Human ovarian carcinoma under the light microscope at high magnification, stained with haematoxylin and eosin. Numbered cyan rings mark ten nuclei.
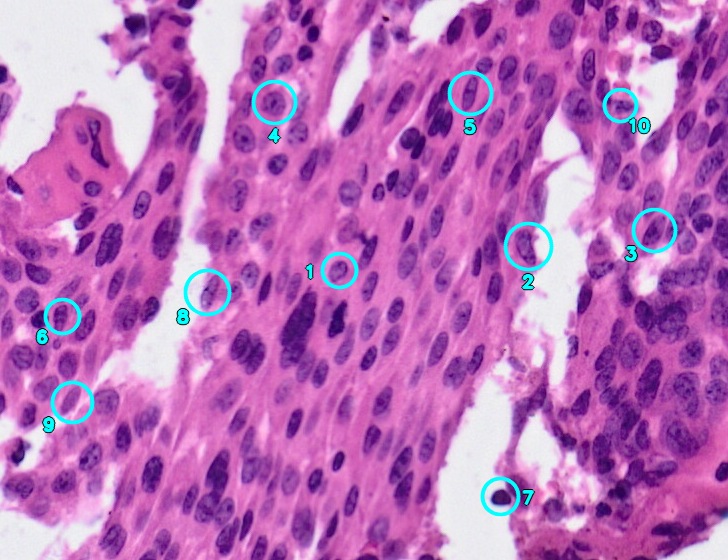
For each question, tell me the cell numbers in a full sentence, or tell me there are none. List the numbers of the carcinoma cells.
The cells numbered 3, 5, 6, 7 and 9 fall into the category of carcinoma cells.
